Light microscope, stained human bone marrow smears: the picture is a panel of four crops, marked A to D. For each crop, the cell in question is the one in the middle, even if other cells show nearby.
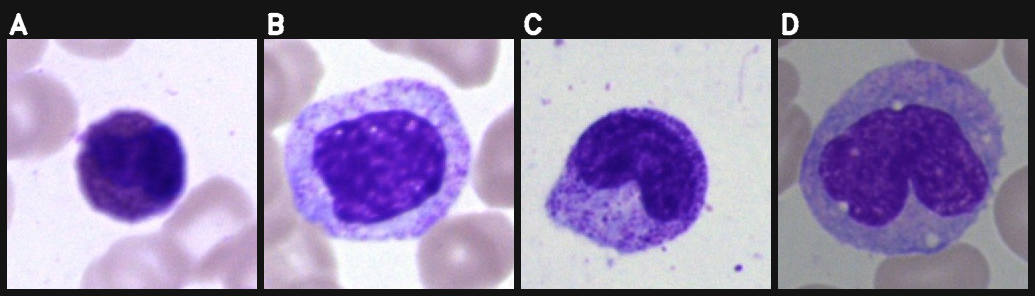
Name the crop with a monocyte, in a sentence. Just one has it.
Crop D is the crop that displays a monocyte.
